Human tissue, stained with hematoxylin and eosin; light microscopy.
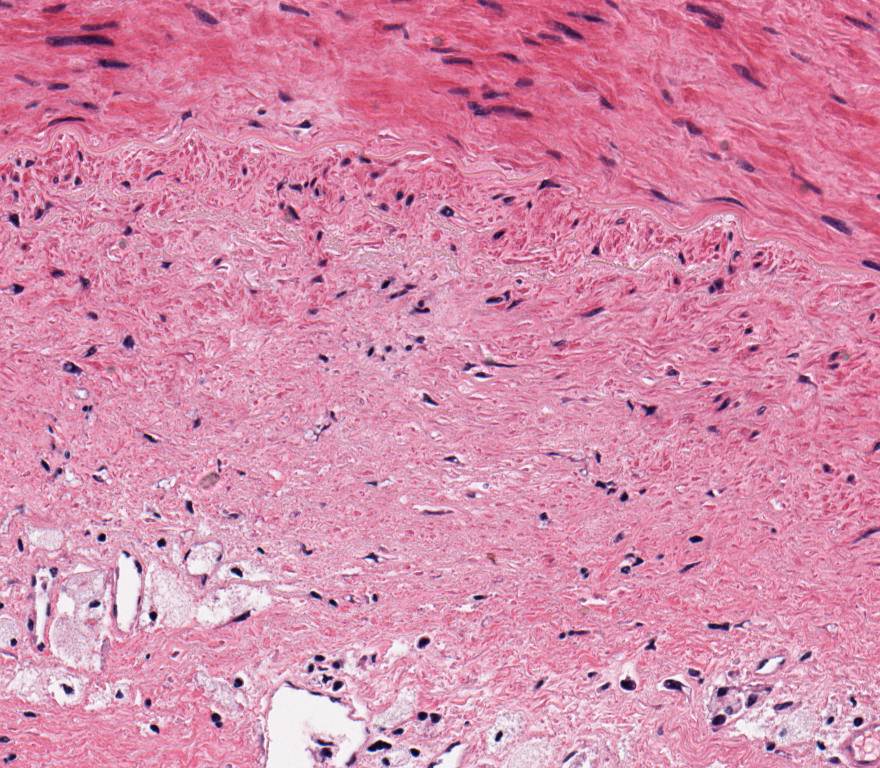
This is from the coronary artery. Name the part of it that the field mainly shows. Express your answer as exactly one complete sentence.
Shown here is the tissue part known as tunica intima.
